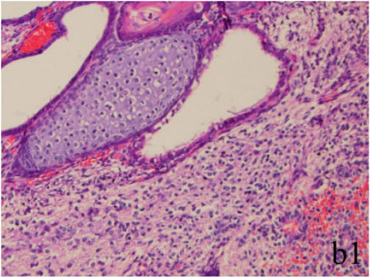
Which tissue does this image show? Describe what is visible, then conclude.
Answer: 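An oval island of pale blue-purple matrix with cells sitting in small spaces. The island is bordered by a thin rim of flattened cells. The answer: cartilage.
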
